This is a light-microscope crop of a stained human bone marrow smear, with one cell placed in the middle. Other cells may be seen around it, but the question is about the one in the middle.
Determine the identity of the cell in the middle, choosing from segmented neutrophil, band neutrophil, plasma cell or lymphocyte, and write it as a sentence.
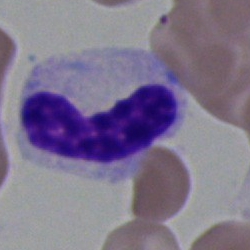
The cell under consideration, at the middle of the crop, is a band neutrophil.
